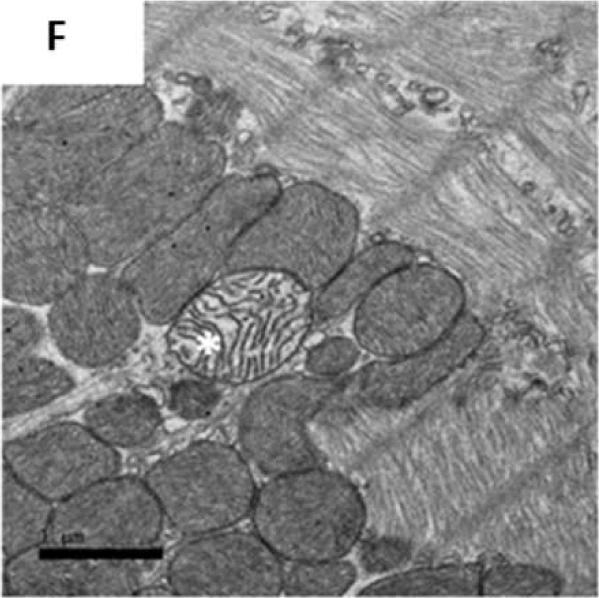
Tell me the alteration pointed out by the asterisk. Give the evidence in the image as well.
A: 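The marked organelle has a pale matrix with widely spaced, distinct cristae. Neighbouring mitochondria are dark and densely packed with cristae. On this evidence: swollen, disrupted mitochondria with lighter cristae.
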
